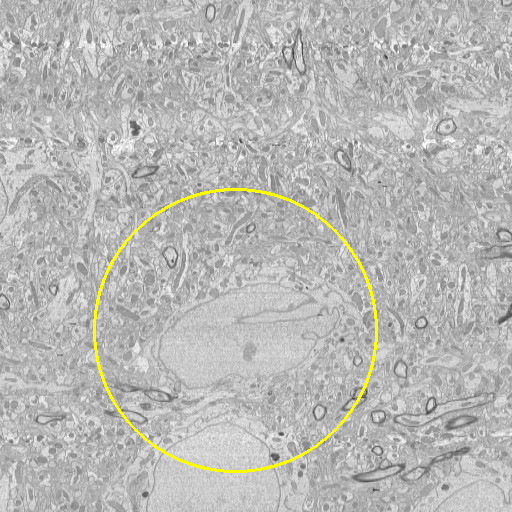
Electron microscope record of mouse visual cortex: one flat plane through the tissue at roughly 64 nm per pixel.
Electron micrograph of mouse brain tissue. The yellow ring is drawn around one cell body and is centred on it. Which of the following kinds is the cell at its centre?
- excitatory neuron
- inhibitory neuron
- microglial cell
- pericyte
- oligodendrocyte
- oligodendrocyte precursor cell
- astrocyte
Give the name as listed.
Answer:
inhibitory neuron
